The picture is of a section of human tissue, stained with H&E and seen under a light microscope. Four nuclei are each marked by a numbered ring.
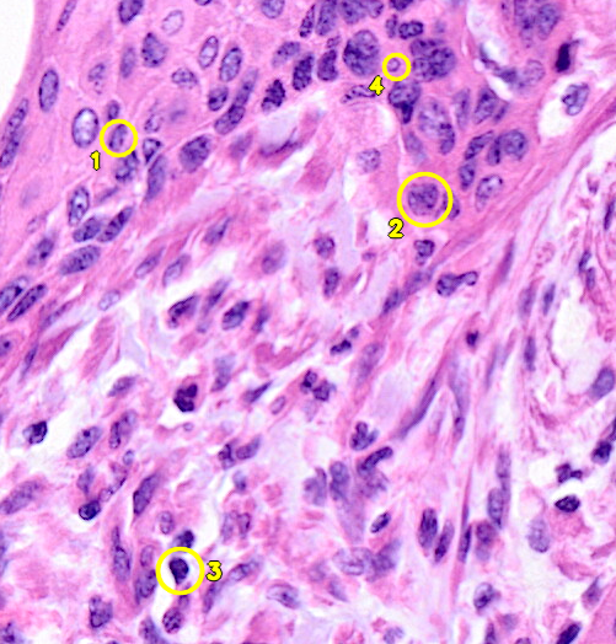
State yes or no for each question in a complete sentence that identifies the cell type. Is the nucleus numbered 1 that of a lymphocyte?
No, cell 1 does not represent a lymphocyte; it represents a squamous carcinoma cell.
